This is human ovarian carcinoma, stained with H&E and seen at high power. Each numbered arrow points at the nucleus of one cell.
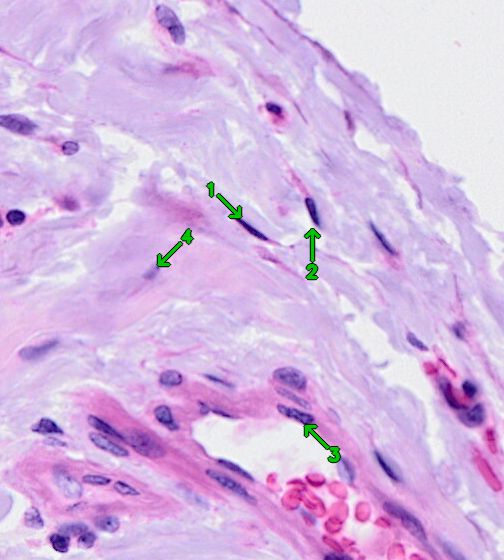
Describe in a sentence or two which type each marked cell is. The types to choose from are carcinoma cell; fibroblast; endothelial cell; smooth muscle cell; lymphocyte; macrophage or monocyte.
Cells 1, 2 and 4 are fibroblasts. Cell 3 is an endothelial cell.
